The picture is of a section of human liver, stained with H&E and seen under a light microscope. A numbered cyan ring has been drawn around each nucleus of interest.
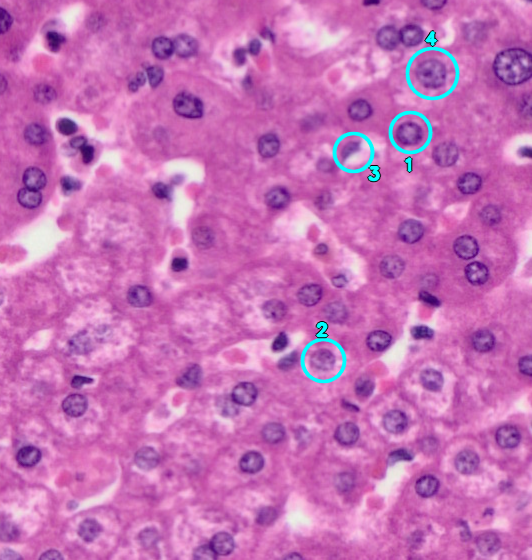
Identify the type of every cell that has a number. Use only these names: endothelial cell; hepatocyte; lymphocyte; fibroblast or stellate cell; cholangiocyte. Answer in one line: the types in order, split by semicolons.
hepatocyte; hepatocyte; endothelial cell; hepatocyte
